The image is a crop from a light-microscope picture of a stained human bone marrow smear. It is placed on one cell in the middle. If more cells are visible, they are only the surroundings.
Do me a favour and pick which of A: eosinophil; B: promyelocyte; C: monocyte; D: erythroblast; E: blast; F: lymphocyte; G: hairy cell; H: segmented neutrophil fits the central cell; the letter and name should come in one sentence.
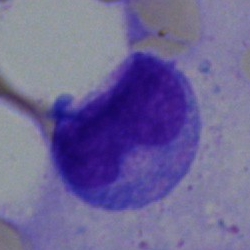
The cell in the middle is correctly identified as a monocyte in option C.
